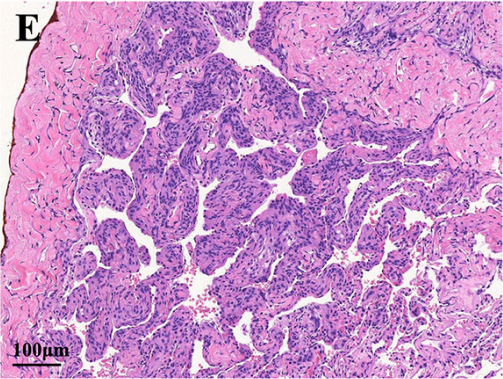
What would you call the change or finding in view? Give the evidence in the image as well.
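Nodular proliferation. Nests of cells are grouped into a compact cellular area. A band of pink fibrous tissue borders the cellular area on the left.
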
